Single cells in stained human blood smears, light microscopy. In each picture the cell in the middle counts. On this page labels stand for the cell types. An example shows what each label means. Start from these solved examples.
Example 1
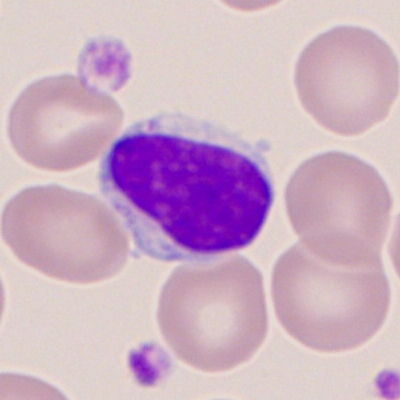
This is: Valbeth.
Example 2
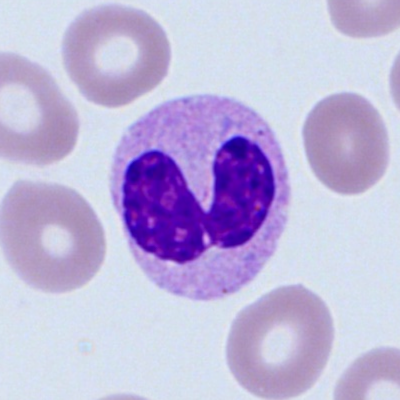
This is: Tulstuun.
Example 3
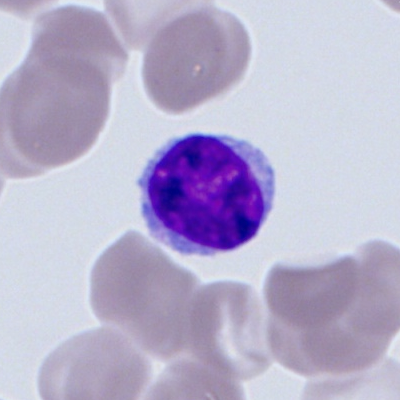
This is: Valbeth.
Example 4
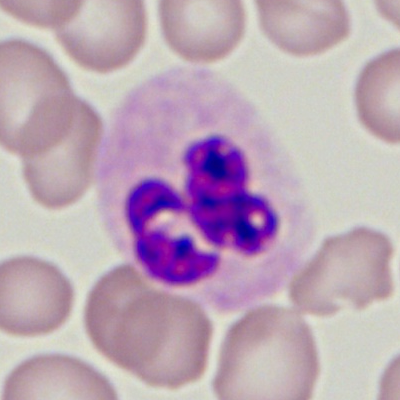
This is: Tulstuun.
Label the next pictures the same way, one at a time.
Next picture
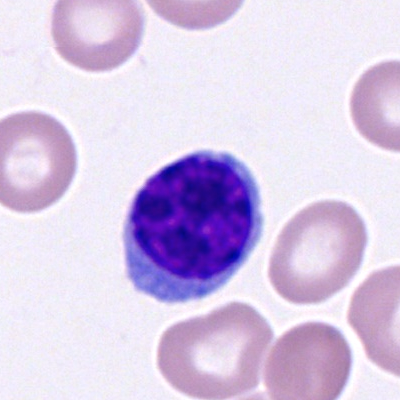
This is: Valbeth.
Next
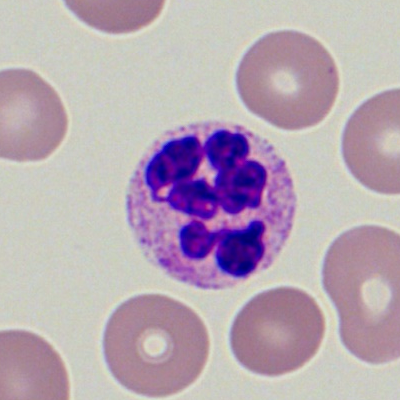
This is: Tulstuun.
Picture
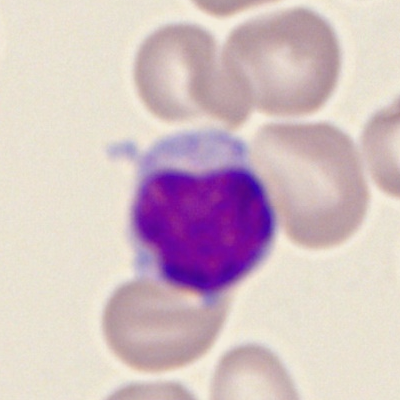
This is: Valbeth.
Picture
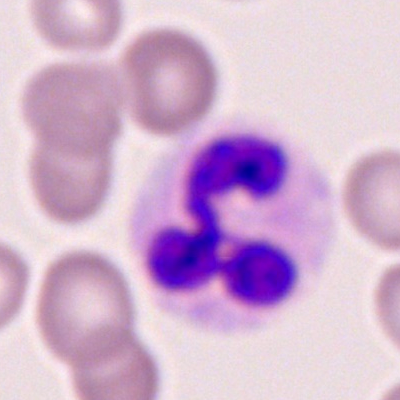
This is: Tulstuun.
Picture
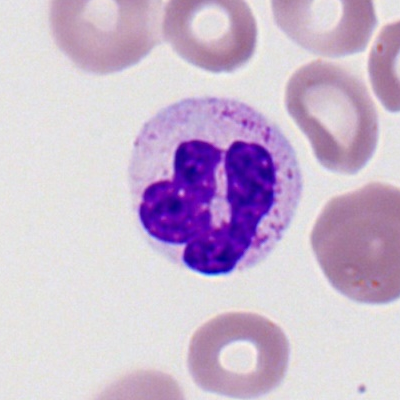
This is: Tulstuun.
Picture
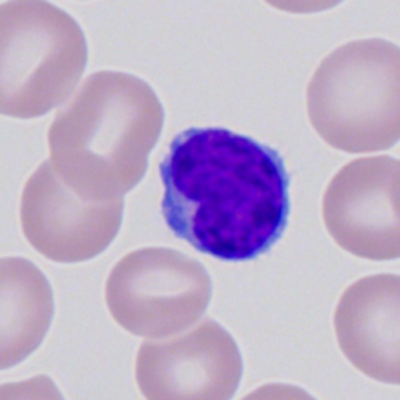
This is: Valbeth.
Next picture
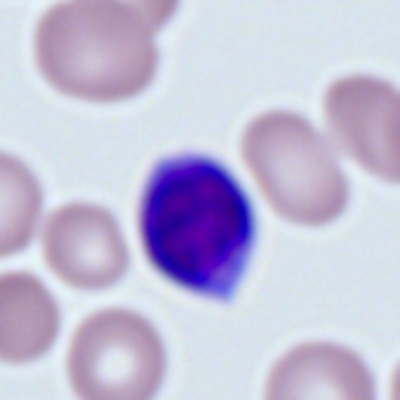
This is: Valbeth.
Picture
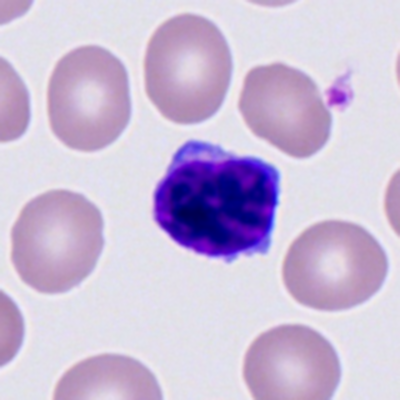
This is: Valbeth.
